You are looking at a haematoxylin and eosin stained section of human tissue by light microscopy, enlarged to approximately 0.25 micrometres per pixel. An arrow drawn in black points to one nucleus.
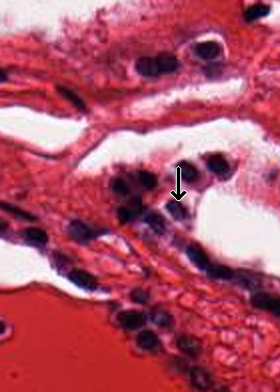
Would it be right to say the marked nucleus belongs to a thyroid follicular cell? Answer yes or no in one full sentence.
Yes, the marked nucleus belongs to a thyroid follicular cell in this field.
